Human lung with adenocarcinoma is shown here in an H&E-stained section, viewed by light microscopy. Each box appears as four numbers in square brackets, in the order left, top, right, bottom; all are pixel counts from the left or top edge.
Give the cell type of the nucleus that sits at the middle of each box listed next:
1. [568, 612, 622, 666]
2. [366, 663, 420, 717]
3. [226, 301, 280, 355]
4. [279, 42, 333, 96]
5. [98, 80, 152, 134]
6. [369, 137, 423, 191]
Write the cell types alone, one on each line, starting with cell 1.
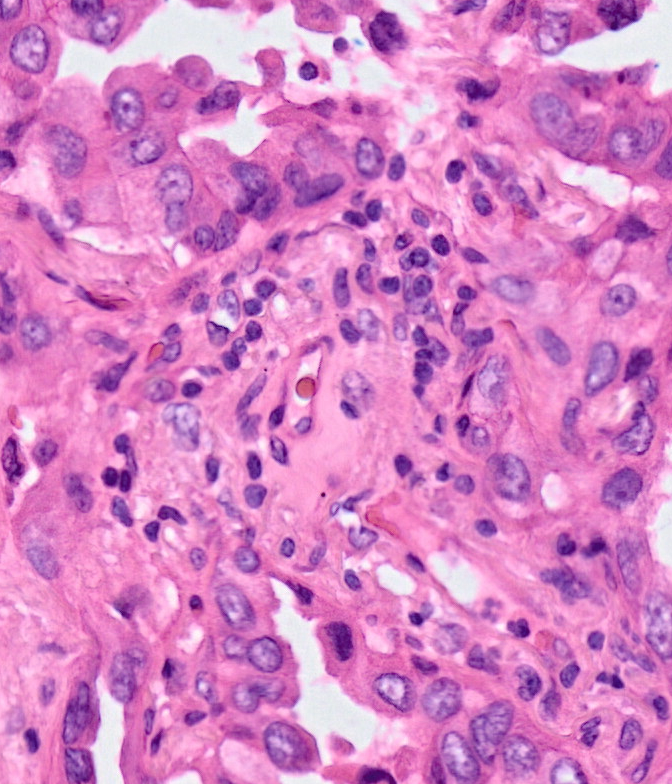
lymphocyte
carcinoma cell
lymphocyte
lymphocyte
carcinoma cell
lymphocyte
